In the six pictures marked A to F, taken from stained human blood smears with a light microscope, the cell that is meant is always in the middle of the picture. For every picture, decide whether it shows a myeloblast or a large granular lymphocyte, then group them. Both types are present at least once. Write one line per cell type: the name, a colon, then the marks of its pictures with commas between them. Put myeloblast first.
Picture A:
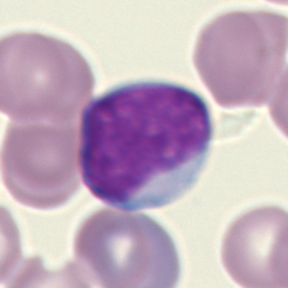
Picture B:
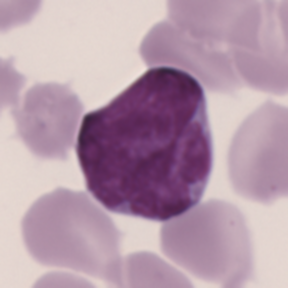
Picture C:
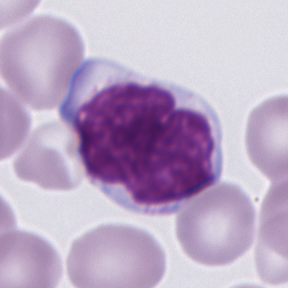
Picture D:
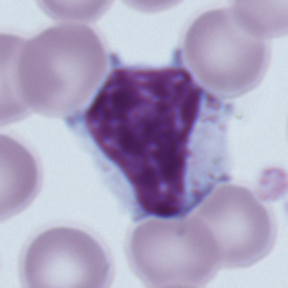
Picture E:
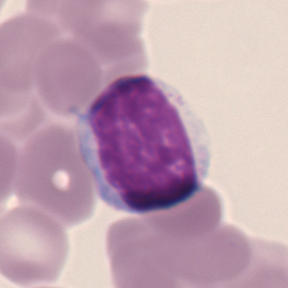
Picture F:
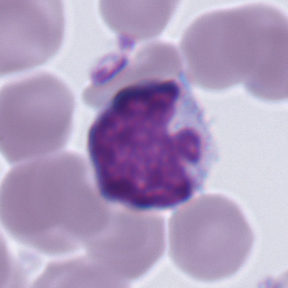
myeloblast: A, B
large granular lymphocyte: C, D, E, F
